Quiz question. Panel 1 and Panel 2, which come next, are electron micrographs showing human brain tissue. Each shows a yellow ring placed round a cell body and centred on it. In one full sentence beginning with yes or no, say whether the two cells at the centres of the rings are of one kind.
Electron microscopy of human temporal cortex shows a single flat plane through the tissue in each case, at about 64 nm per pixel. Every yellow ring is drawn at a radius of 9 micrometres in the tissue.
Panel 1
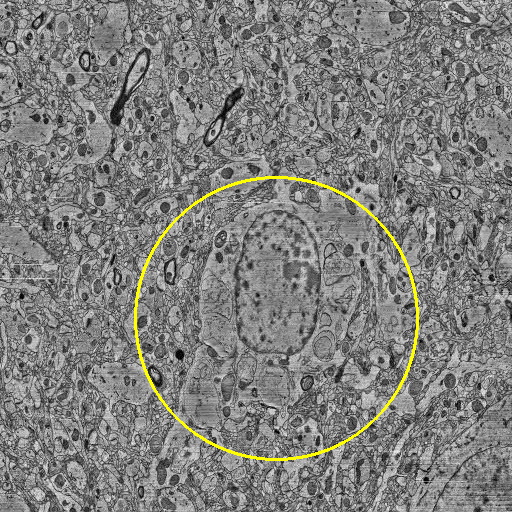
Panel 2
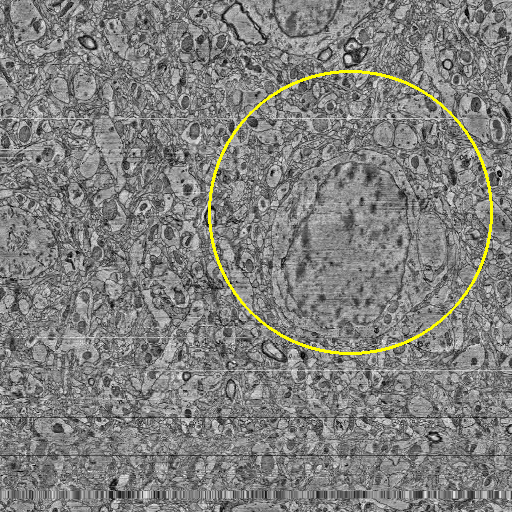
No, Panel 1 and Panel 2 show two kinds of cell at the centre of the ring.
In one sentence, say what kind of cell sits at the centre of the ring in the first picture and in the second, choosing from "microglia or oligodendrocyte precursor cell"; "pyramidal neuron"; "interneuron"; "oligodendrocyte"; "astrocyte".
The first picture's ringed cell is an astrocyte, while the second picture's is an interneuron.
